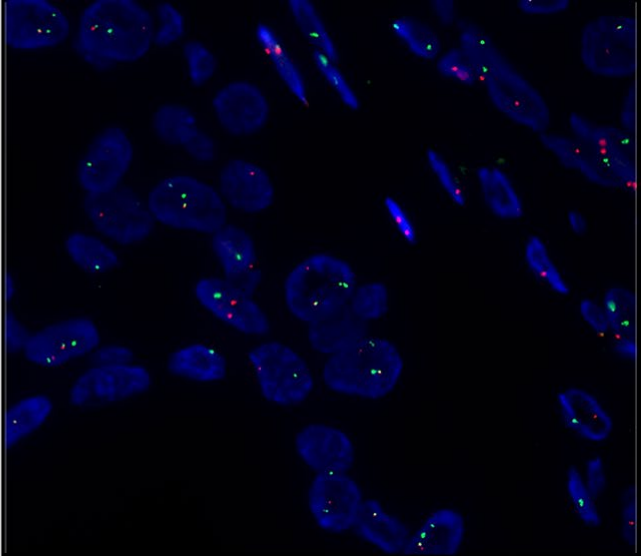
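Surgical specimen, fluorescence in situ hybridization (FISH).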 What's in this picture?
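Tumor cell nuclei in blue, mostly round to oval, with some thin elongated nuclei scattered among them. Small red and green dots lie inside the nuclei. In many nuclei a red dot and a green dot sit apart from each other rather than together, giving split signals. A few elongated nuclei carry brighter red or pink spots.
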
